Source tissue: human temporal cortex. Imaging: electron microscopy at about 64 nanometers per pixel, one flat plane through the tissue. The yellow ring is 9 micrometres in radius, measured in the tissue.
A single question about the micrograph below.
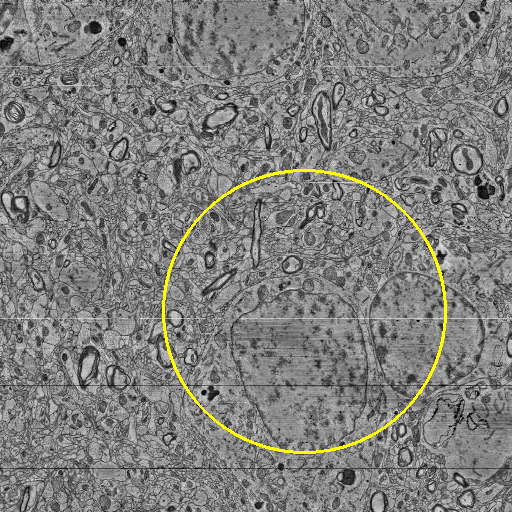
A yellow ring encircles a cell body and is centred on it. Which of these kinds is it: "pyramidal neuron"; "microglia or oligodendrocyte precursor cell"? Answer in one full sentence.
The cell body at the centre of the yellow ring belongs to a pyramidal neuron.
